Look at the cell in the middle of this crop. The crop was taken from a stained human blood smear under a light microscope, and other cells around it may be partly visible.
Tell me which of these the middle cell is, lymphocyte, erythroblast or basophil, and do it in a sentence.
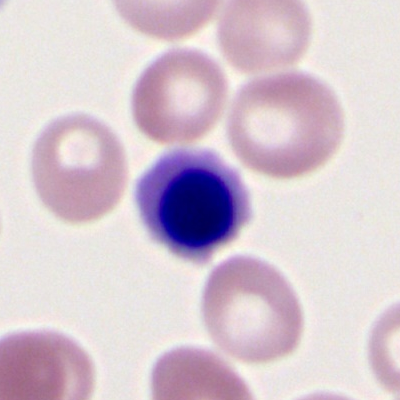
Standing at the centre of this crop is an erythroblast.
